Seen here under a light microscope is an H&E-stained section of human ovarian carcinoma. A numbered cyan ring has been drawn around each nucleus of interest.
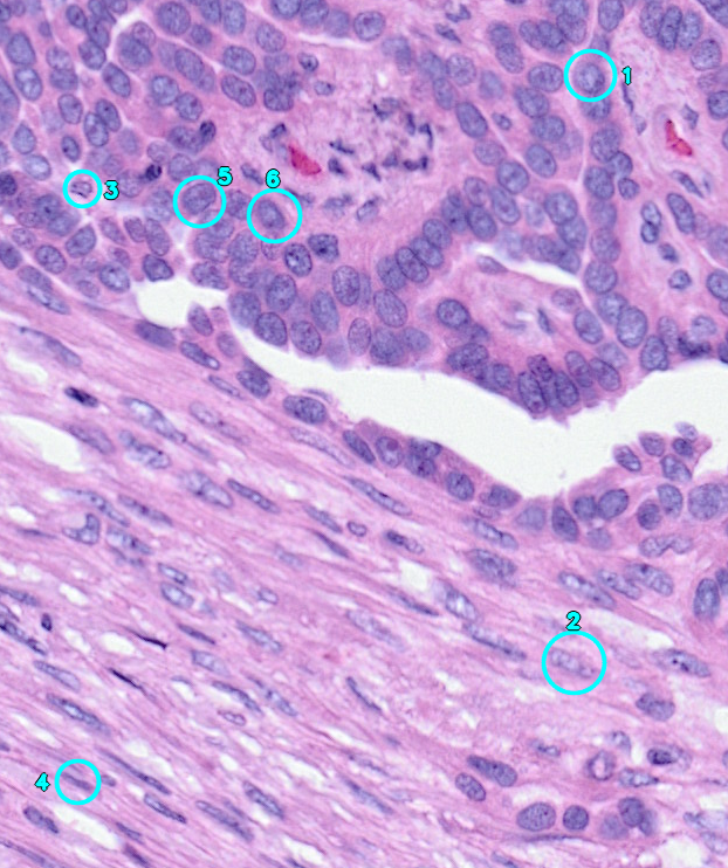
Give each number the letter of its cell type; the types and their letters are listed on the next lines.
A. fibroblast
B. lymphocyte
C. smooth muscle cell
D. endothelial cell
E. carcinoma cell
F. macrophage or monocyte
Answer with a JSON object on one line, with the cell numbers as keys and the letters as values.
{"1": "E", "2": "A", "3": "F", "4": "A", "5": "E", "6": "E"}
